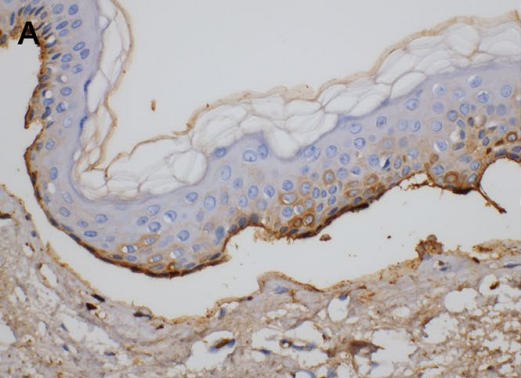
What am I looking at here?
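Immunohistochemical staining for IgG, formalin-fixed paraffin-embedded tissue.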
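Stratified squamous epidermis lies separated from the underlying dermis by an empty cleft, with a loose basket-weave keratin layer on its upper surface. The keratinocytes have round to oval blue nuclei and pale cytoplasm, flattening towards the surface. A dark brown continuous line runs along the base of the epidermis at the dermo-epidermal junction, and a thinner brown line lines the top of the dermis across the cleft. The dermis below is loose, with scattered spindle cells and patchy light brown background.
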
